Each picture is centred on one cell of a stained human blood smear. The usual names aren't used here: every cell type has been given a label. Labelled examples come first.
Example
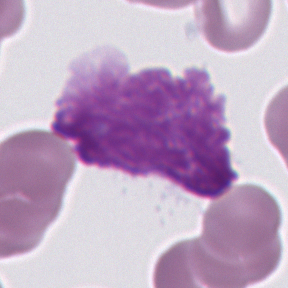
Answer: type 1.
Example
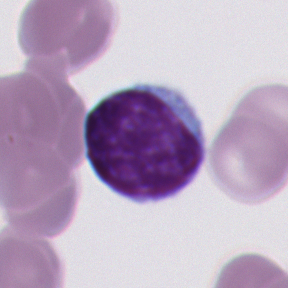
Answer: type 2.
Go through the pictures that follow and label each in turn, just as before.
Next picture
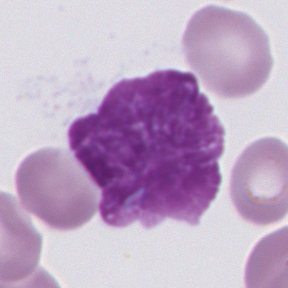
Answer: type 1.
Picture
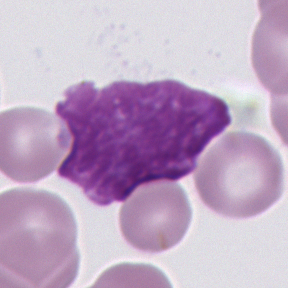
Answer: type 1.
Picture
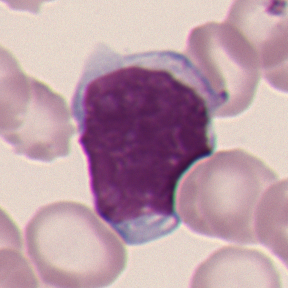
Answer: type 2.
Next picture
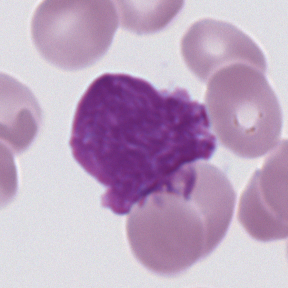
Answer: type 1.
